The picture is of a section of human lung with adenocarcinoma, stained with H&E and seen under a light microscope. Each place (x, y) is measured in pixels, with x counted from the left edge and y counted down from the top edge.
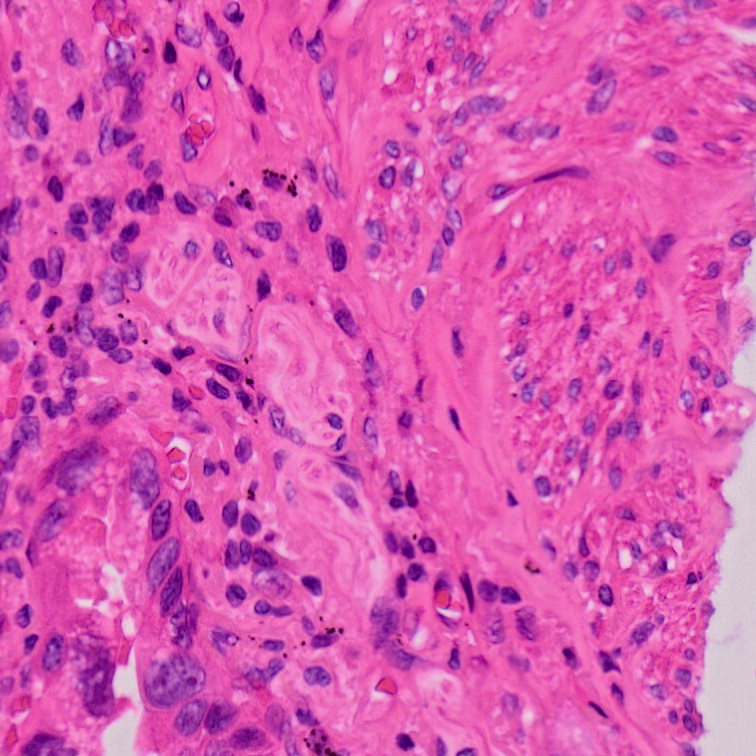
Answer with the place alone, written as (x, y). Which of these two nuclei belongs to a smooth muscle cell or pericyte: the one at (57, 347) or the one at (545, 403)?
(545, 403)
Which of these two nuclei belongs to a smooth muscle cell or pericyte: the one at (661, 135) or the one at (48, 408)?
(661, 135)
